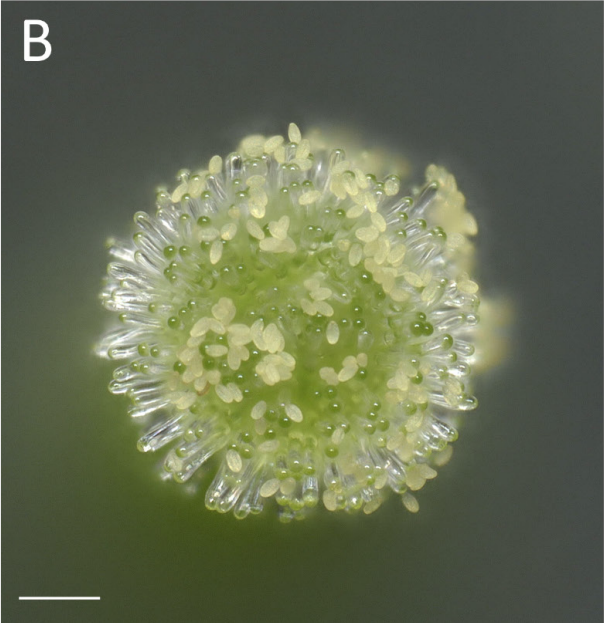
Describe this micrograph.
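This is the stigma of a flower seen from above, a rounded green head covered with pollen grains. Its surface bristles with many clear, glassy, finger-like projections that radiate outward, densest and longest at the rim. Pale yellow pollen grains are scattered among the projections, singly or in small clusters, and they are elongated and oval in shape. Small green droplet-like tips are visible among the projections over the green centre.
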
